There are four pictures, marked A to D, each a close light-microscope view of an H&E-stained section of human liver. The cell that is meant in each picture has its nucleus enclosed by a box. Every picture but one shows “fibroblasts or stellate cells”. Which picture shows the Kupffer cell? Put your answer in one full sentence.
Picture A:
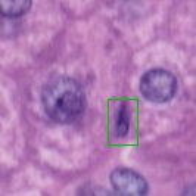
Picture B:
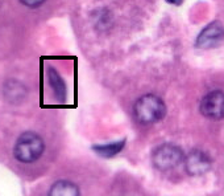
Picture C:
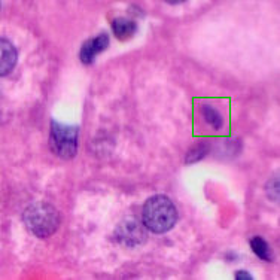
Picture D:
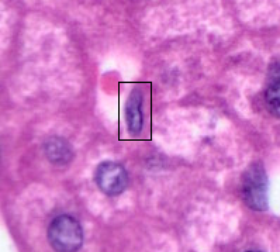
The picture with the Kupffer cell is D.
